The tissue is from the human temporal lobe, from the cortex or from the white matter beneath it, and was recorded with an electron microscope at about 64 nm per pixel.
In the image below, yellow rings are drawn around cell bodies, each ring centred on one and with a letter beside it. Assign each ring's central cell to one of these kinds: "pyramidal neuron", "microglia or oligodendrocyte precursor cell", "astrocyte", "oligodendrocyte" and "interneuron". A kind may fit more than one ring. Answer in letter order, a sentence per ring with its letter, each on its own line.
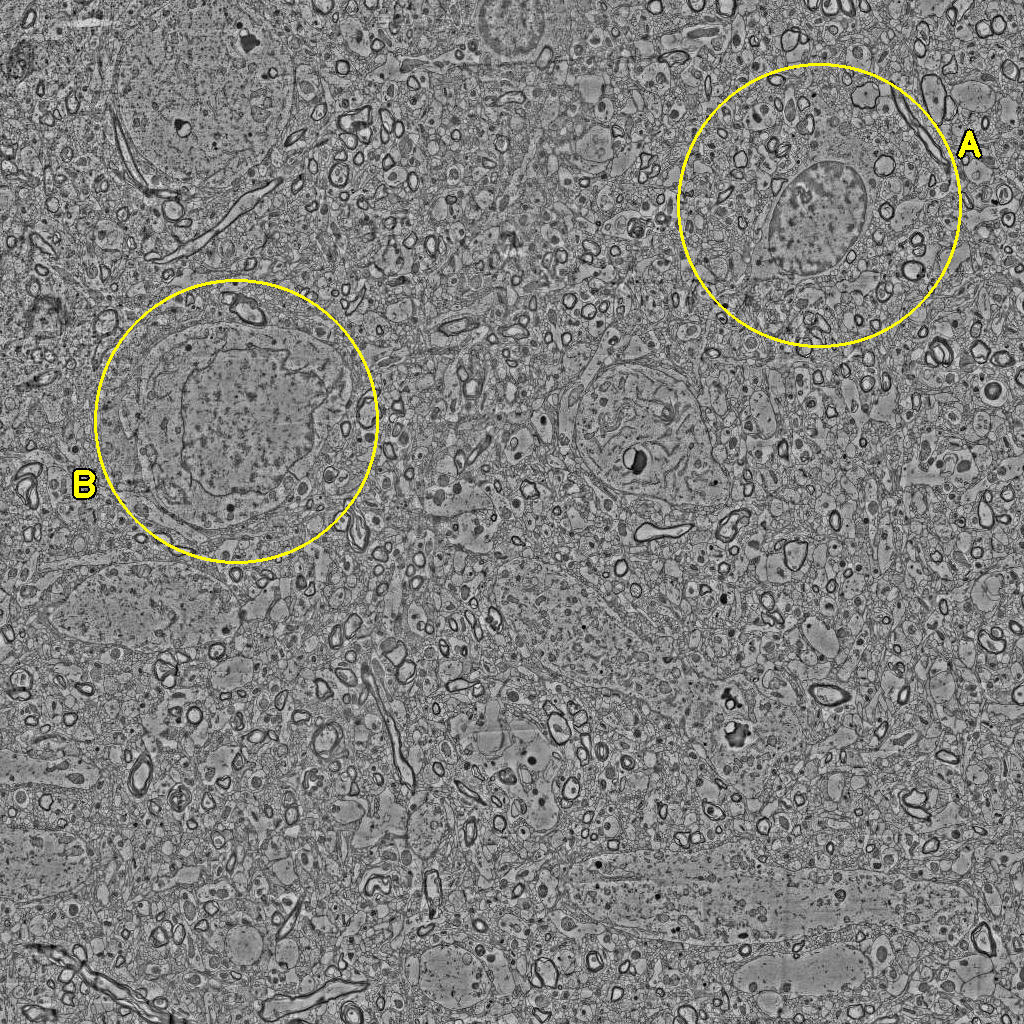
The central cell of ring A is an oligodendrocyte.
The central cell of ring B is a pyramidal neuron.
